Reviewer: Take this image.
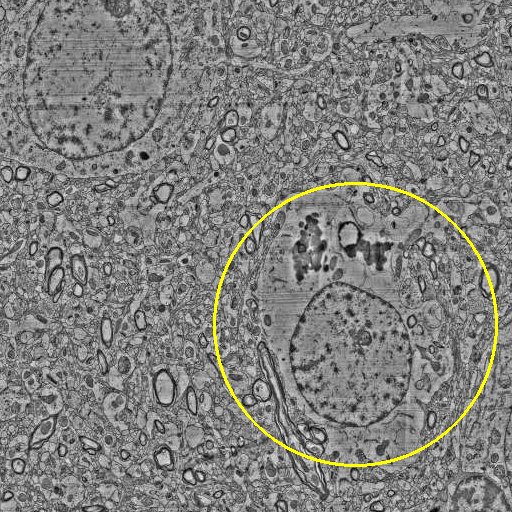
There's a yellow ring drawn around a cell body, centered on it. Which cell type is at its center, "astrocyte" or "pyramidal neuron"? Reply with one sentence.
At the center of the yellow ring is an astrocyte.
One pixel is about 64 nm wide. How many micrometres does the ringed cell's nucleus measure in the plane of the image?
The nucleus comes to roughly 9 by 8 micrometres in this plane.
